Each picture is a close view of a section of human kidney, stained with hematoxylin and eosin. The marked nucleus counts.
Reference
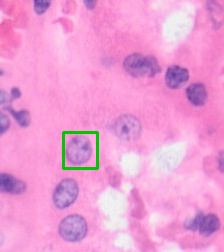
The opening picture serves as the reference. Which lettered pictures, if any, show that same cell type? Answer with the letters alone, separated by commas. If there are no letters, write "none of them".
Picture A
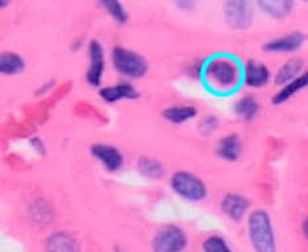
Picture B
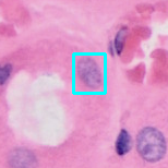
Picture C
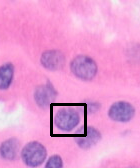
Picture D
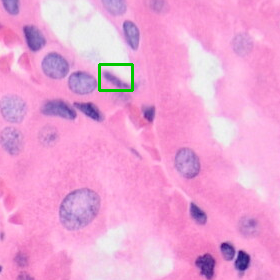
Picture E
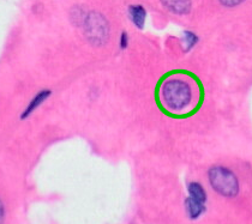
B, E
